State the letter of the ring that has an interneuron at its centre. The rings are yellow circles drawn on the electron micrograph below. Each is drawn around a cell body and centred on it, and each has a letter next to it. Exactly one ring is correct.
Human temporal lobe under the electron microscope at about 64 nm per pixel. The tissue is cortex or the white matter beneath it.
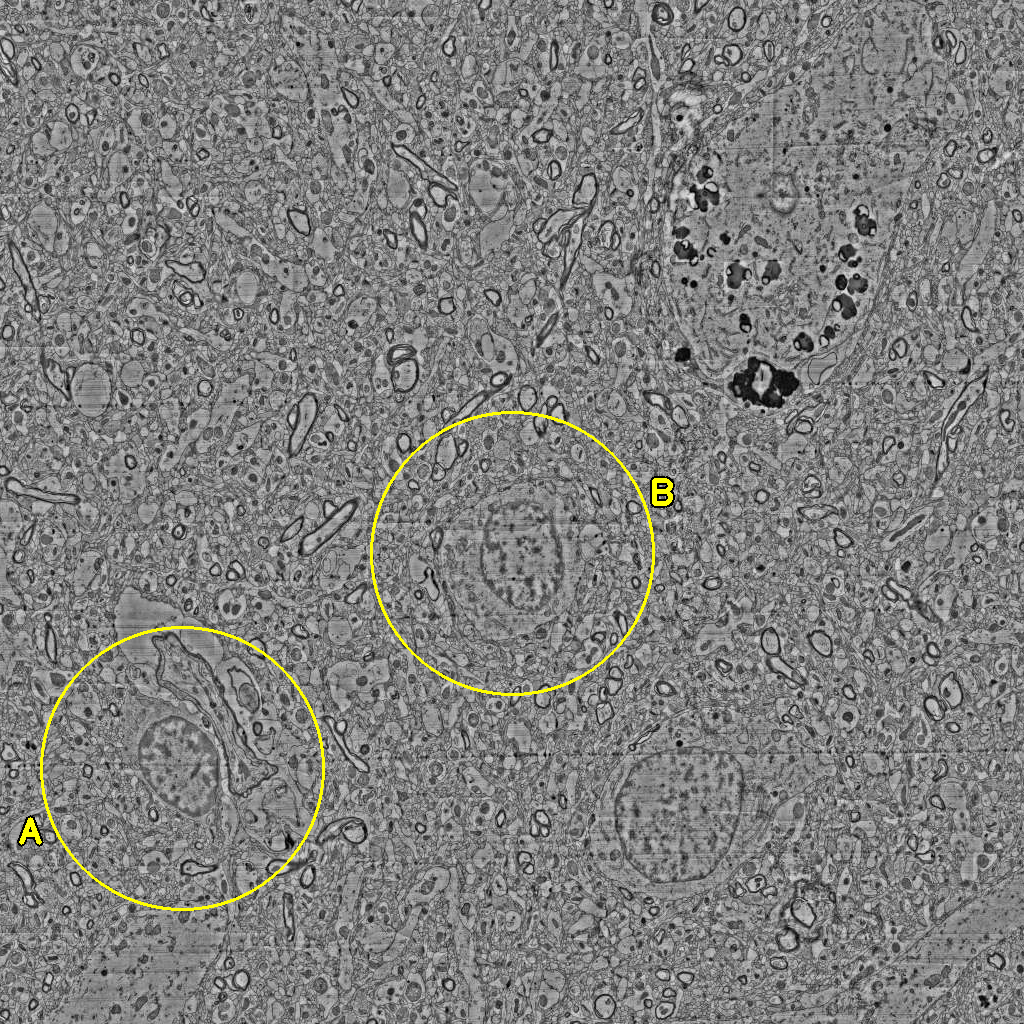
B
